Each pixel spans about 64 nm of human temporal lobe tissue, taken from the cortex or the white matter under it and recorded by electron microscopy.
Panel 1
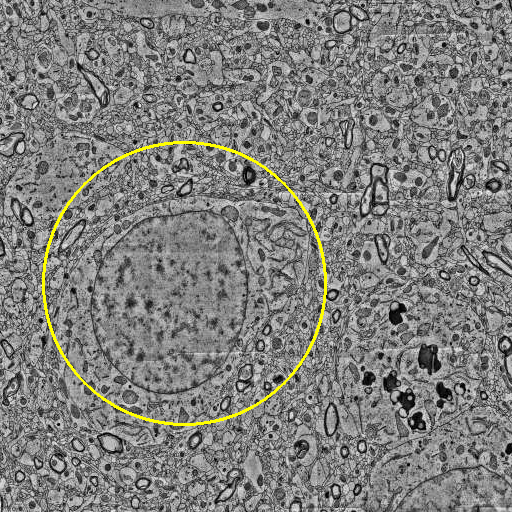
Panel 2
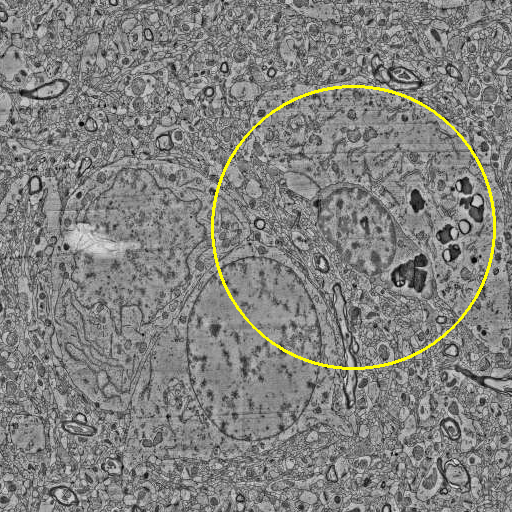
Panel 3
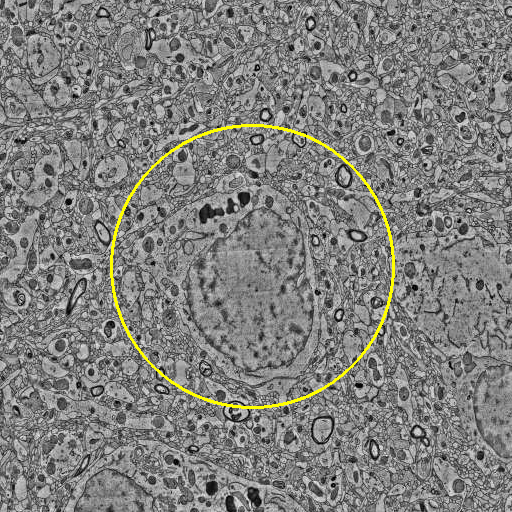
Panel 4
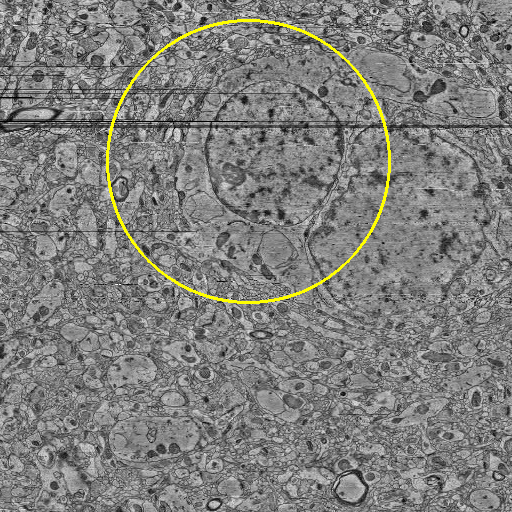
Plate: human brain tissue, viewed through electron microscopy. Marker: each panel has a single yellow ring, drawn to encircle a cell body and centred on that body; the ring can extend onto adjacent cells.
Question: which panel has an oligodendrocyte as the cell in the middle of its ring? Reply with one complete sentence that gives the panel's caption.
Panel 2 is where the requested cell sits at the centre of the ring.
